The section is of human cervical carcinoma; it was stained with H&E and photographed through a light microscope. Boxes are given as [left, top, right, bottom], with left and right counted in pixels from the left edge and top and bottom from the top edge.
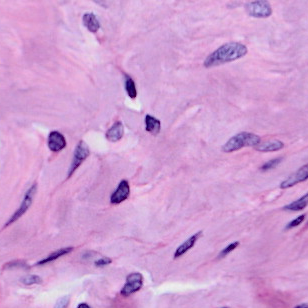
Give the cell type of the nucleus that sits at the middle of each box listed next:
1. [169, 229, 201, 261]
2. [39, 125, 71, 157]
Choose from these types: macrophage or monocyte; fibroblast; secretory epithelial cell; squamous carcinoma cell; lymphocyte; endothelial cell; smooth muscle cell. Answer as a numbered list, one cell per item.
1. fibroblast
2. lymphocyte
